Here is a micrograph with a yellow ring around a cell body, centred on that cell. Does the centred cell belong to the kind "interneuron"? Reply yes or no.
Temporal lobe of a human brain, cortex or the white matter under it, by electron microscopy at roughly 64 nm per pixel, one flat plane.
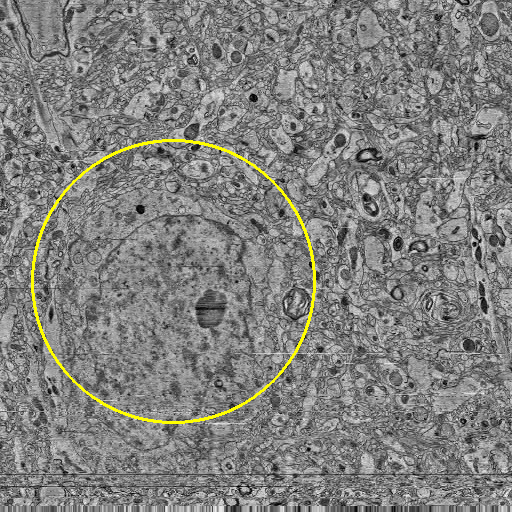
yes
